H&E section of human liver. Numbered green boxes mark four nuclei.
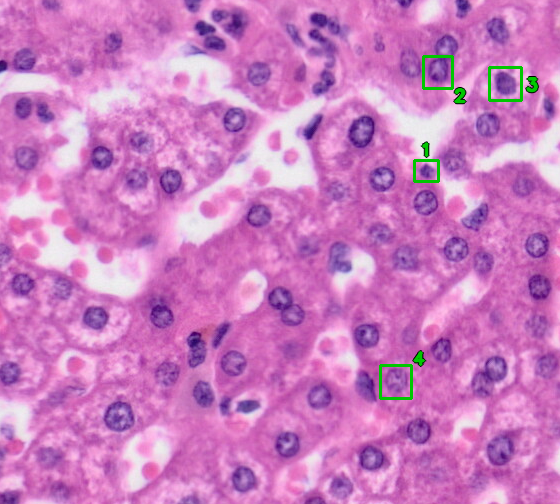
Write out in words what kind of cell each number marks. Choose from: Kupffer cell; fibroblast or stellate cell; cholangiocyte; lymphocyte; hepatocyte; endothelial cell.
Cell 1 is a fibroblast or stellate cell, cell 2 is a hepatocyte, cell 3 is a hepatocyte and cell 4 is a hepatocyte.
